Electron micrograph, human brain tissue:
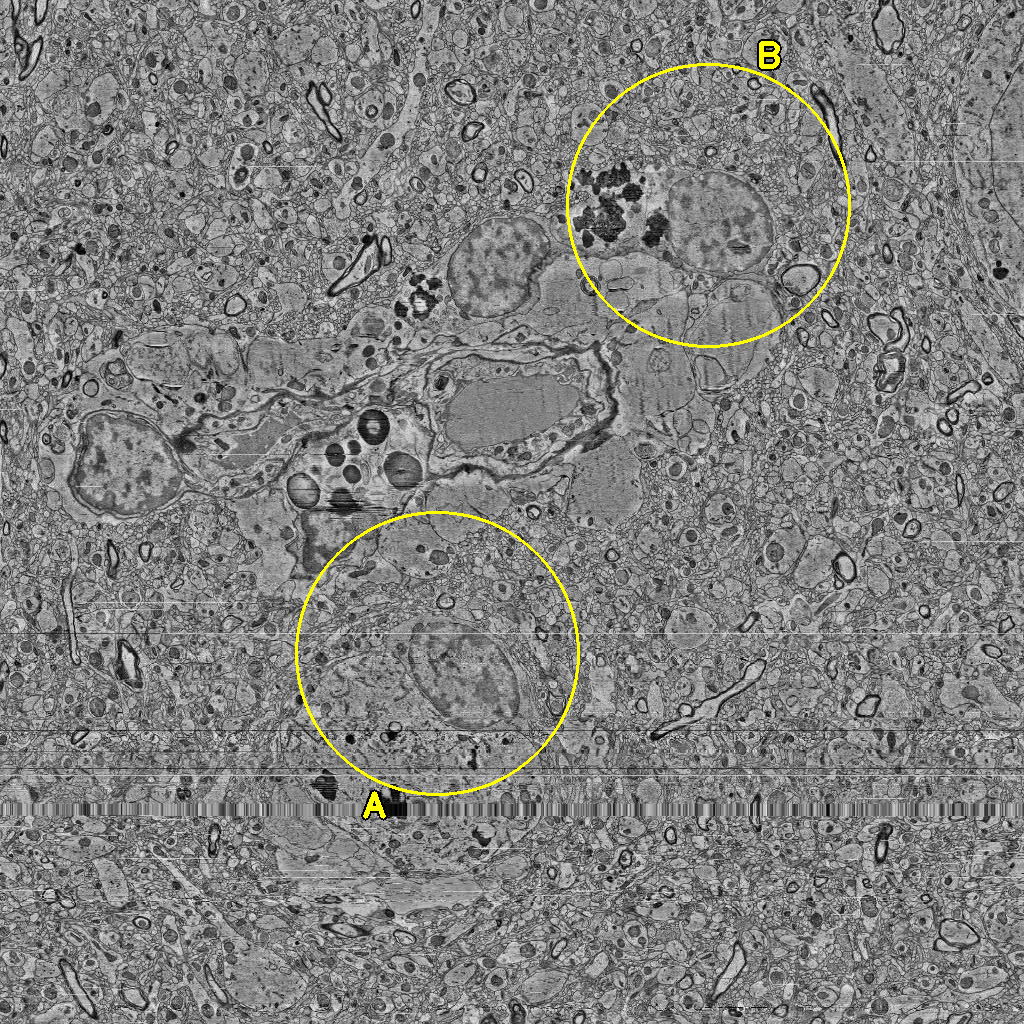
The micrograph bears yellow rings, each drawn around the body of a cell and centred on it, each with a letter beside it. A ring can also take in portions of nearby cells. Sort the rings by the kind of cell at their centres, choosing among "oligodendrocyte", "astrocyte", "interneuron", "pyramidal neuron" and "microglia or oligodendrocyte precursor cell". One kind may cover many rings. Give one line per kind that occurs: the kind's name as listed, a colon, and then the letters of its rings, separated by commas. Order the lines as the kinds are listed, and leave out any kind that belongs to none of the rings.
oligodendrocyte: A, B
